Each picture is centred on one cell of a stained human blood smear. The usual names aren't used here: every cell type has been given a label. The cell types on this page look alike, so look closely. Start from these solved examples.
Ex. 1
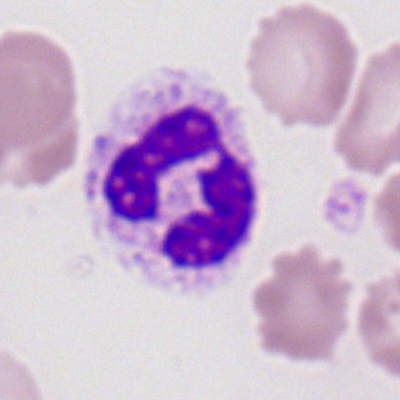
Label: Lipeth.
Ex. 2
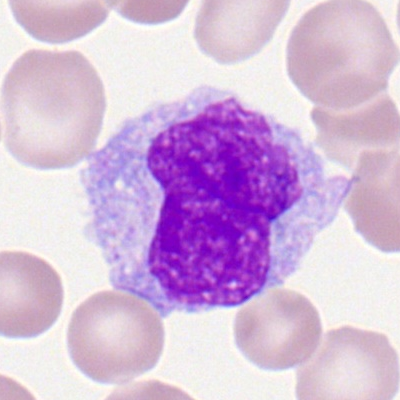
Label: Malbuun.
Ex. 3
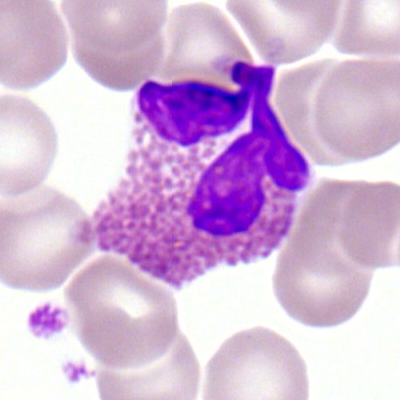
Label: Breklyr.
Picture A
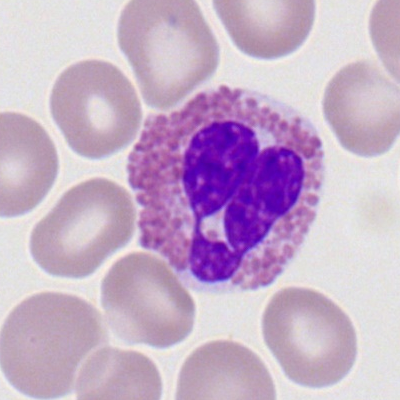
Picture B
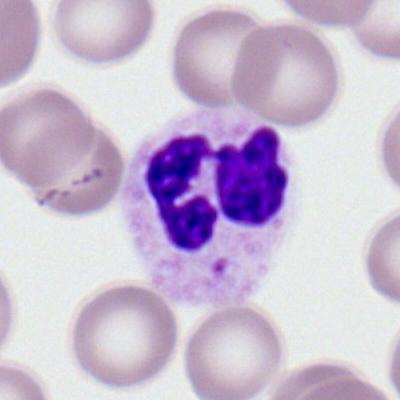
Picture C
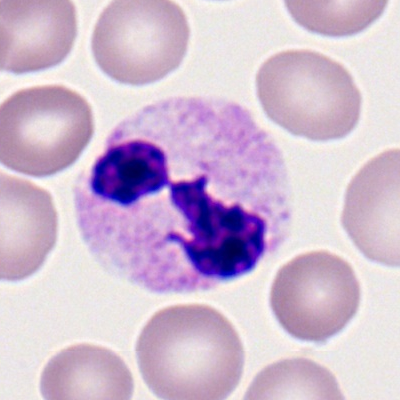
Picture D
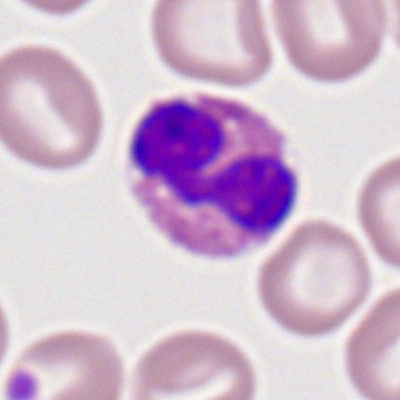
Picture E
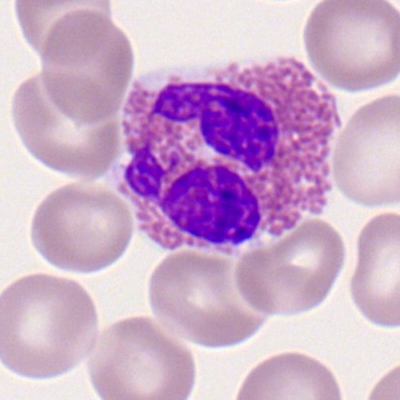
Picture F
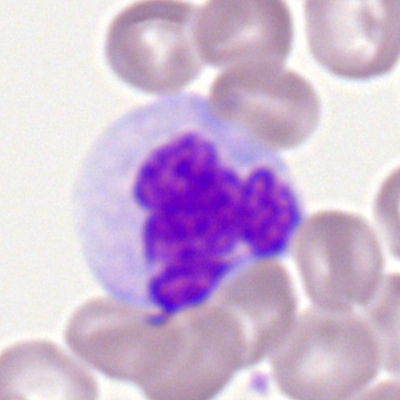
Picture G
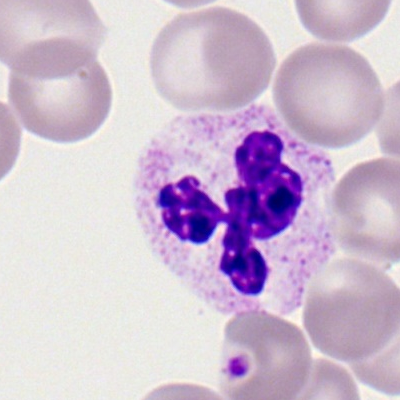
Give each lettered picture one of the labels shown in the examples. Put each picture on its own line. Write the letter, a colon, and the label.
A: Breklyr.
B: Lipeth.
C: Lipeth.
D: Breklyr.
E: Breklyr.
F: Malbuun.
G: Lipeth.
